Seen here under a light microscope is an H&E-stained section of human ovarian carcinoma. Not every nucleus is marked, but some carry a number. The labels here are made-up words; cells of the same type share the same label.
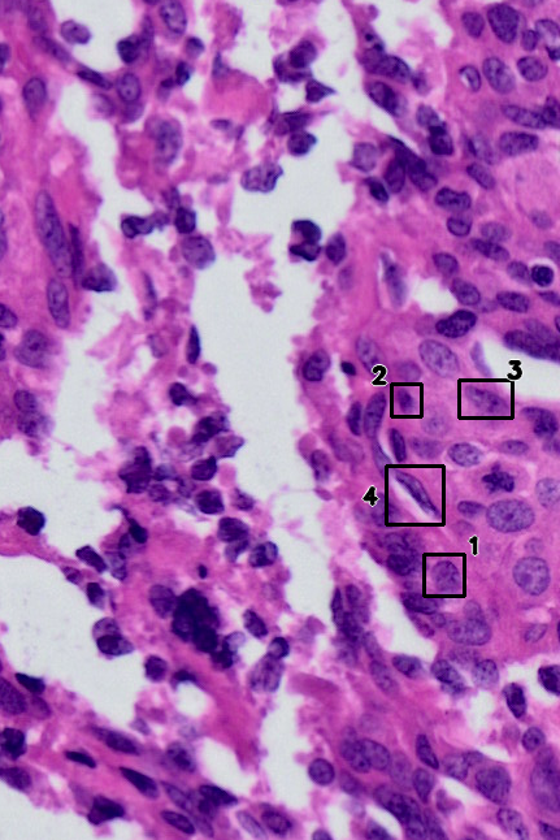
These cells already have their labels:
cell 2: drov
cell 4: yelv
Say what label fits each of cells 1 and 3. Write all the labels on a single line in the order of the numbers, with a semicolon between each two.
drov; drov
